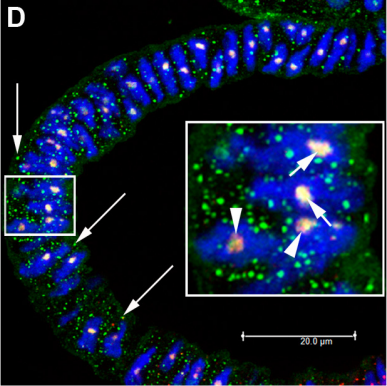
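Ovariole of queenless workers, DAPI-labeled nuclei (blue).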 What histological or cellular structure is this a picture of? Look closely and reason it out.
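A thin curved strand one cell wide. So: Terminal filament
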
